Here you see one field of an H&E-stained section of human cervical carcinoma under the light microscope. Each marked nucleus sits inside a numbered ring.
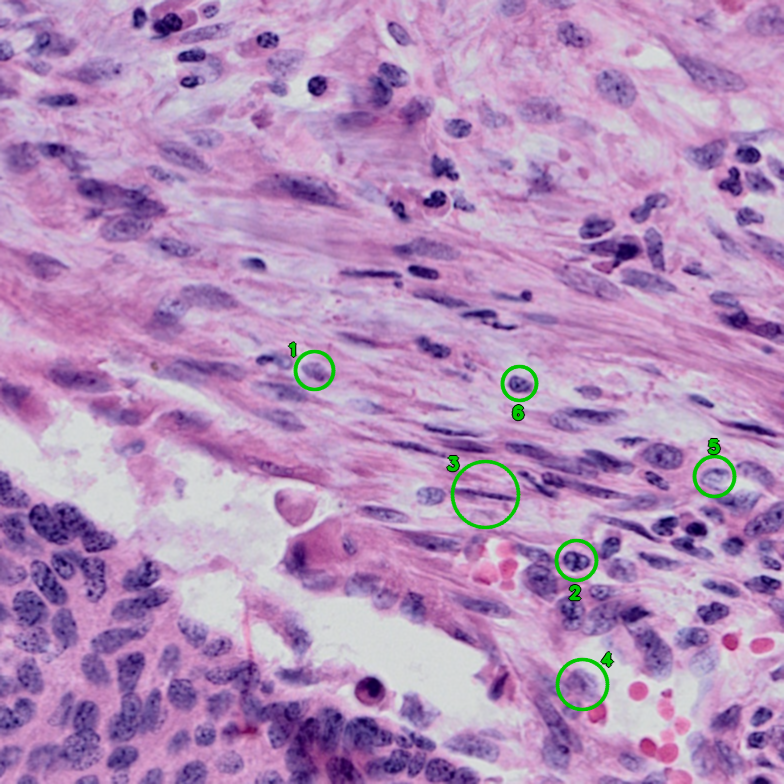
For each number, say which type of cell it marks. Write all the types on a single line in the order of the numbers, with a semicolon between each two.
fibroblast; lymphocyte; fibroblast; endothelial cell; endothelial cell; lymphocyte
